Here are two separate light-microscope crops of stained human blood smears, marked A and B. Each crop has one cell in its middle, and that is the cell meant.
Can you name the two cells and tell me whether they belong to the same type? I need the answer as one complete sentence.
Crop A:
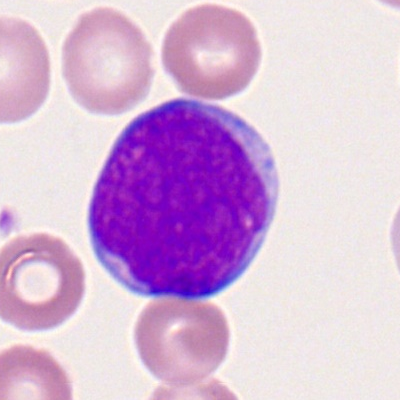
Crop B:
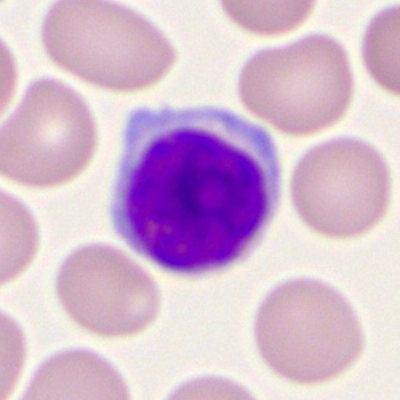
No, while a myeloblast is found in crop A, a lymphocyte is found in crop B.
